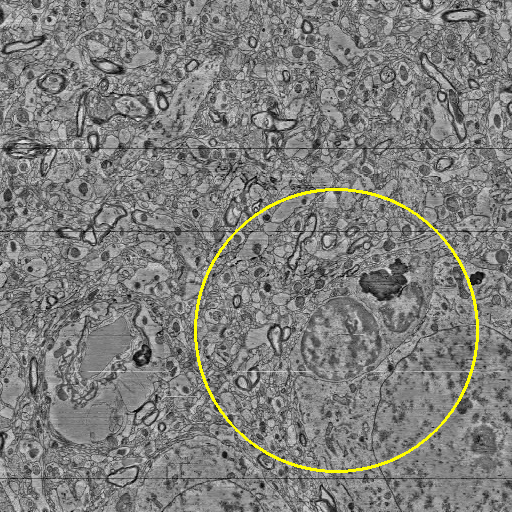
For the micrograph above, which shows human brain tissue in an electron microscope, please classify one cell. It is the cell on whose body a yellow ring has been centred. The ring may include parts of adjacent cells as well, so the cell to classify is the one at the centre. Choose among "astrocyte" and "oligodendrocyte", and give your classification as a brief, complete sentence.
I classify this cell as an oligodendrocyte.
